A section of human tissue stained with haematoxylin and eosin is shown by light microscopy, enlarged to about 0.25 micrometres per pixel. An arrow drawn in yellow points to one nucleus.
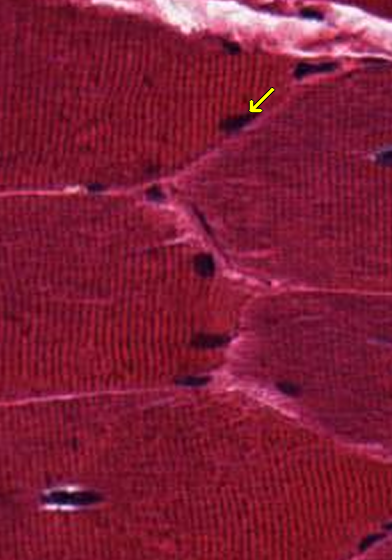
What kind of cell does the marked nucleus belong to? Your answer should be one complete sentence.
The mark falls on a nucleus belonging to a skeletal muscle fibre.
